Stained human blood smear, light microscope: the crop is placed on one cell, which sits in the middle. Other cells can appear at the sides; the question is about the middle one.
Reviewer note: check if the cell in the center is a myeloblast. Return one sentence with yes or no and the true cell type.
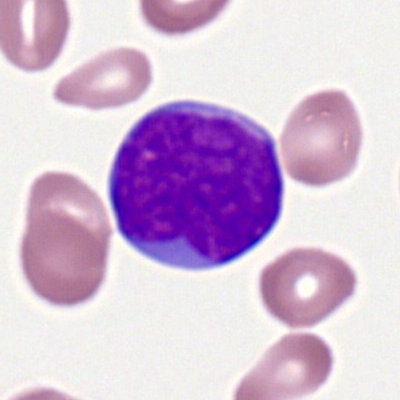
Yes, that middle cell in the crop is a myeloblast.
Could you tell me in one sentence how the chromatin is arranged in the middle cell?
Take a look at the chromatin, which is coarsely clumped.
